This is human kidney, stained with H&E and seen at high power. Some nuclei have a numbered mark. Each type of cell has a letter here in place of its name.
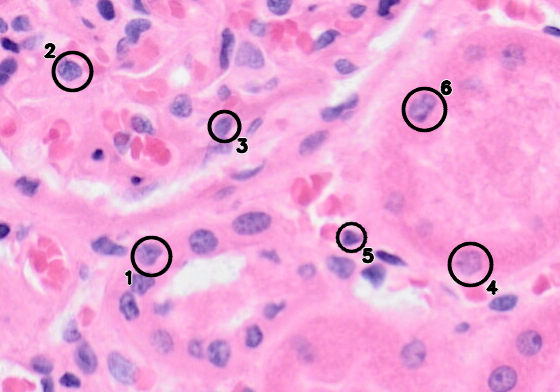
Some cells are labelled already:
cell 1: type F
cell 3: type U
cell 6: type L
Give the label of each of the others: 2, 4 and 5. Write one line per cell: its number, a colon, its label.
2: type U
4: type L
5: type U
